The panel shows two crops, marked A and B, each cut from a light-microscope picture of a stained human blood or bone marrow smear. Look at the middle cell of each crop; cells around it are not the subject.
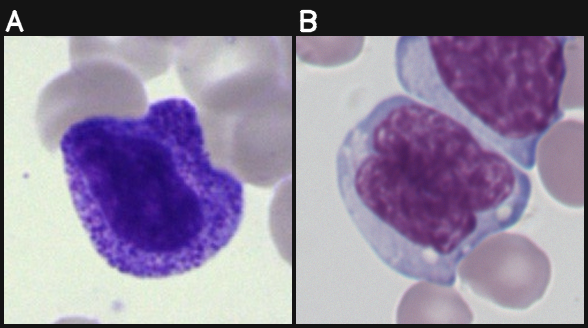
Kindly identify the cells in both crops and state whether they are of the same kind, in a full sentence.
No, crop A shows a promyelocyte and crop B shows a blast.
